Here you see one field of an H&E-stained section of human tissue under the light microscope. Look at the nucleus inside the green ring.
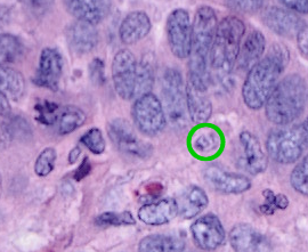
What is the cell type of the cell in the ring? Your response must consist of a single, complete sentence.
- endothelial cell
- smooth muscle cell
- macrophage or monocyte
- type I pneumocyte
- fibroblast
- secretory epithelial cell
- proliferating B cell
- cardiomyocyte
Recorded by type, the cell in the ring is a macrophage or monocyte.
